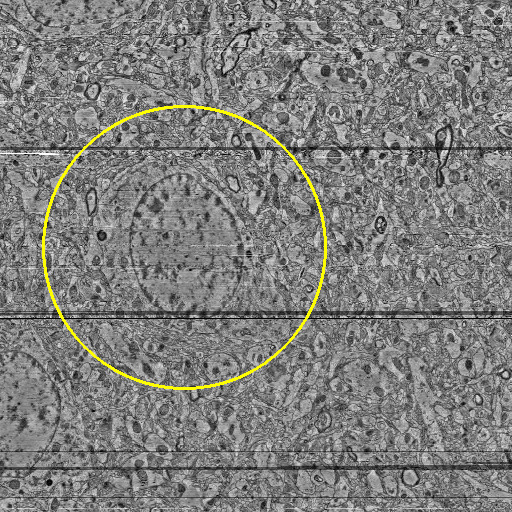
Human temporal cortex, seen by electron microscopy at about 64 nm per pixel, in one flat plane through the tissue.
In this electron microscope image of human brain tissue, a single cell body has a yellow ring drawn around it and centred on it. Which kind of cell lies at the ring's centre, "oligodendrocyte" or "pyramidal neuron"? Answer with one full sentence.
It is a pyramidal neuron whose cell body lies at the centre of the yellow ring here.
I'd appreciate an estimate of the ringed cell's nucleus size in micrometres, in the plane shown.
In this plane, about 10 micrometres in length and 7 in width.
